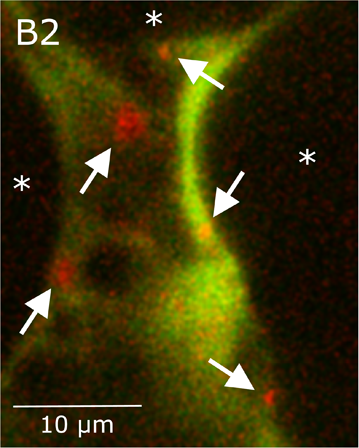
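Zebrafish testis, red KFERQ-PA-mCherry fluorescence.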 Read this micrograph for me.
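Close view of a junction between spermatogenic cysts, filled by green-fluorescent Sertoli cell cytoplasm that tapers into thin bands along the cyst edges. Several small round red dots, marked by arrows, sit within or at the margin of the green cytoplasm. A small dark round hole lies within the green region. The surrounding cysts, marked by asterisks, appear as dark areas lacking green signal.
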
